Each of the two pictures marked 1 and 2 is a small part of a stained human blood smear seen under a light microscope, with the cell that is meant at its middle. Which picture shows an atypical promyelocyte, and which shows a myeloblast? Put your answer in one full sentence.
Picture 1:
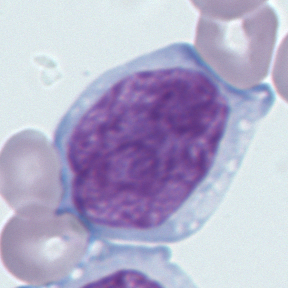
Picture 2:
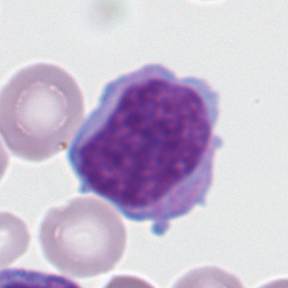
Picture 2 shows an atypical promyelocyte, while picture 1 shows a myeloblast.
